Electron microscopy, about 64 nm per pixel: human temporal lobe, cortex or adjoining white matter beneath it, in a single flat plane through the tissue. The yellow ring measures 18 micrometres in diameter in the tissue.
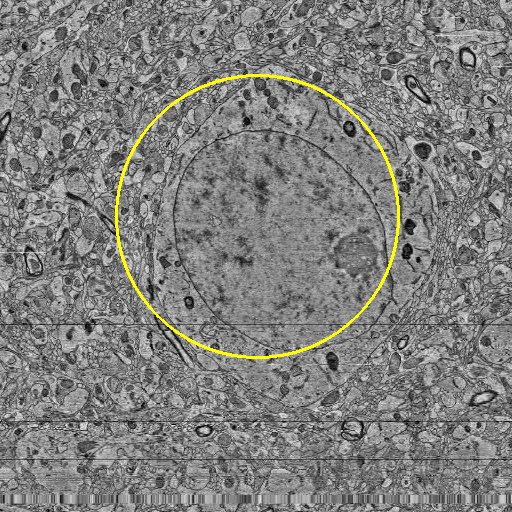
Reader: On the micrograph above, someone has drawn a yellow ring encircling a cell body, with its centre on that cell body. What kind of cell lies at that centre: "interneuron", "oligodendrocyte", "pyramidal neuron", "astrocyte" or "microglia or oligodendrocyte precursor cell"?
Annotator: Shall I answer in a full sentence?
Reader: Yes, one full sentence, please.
Here a pyramidal neuron sits at the centre of the yellow ring drawn on the micrograph.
